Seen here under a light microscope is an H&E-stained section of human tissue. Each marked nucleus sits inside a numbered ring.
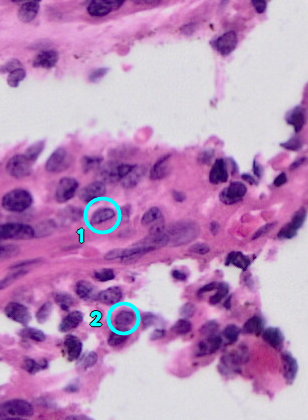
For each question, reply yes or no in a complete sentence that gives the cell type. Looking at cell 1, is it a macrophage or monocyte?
Yes, the cell corresponding to number 1 is a macrophage or monocyte.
